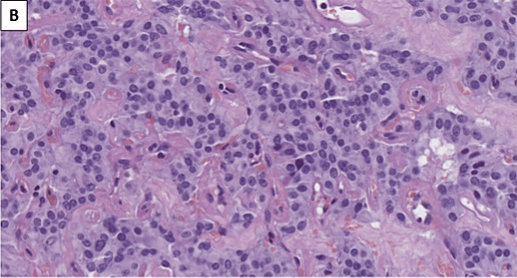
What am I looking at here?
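This is a cellular tumor made of ovoid cells grouped in nests and vague papilla-like arrangements. The nuclei are round to oval, dark purple, and fairly uniform, with only mild variation in size. Between the cell groups run pink, glassy bands of stroma carrying many small blood vessels, some holding red blood cells. The cells crowd around these vascular strands, giving a nested pattern across the field.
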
